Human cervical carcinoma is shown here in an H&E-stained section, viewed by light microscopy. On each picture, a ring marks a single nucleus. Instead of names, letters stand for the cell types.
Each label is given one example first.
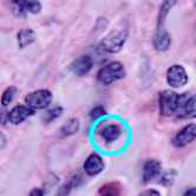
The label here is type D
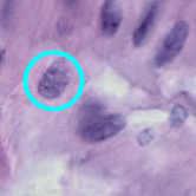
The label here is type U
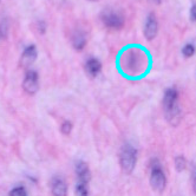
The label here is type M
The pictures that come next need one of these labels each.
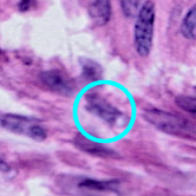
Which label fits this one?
type U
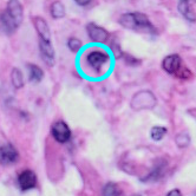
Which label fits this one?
type D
